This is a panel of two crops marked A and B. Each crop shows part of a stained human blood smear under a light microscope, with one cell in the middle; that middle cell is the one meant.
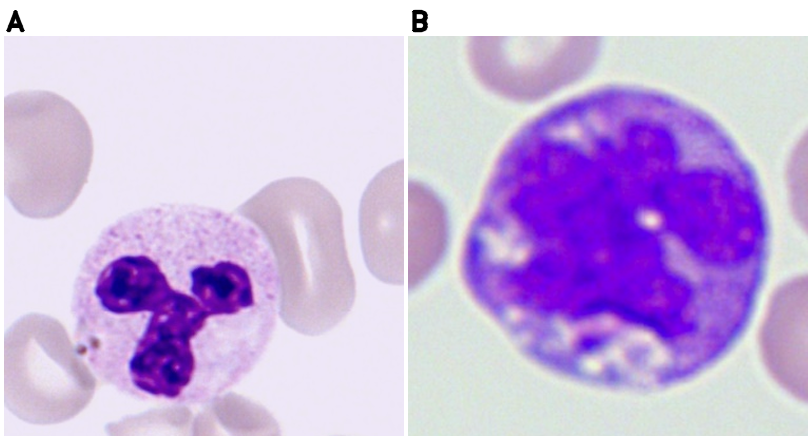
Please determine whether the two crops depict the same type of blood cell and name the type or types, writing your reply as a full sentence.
No, the middle of crop A holds a neutrophil, and the middle of crop B holds a monocyte.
